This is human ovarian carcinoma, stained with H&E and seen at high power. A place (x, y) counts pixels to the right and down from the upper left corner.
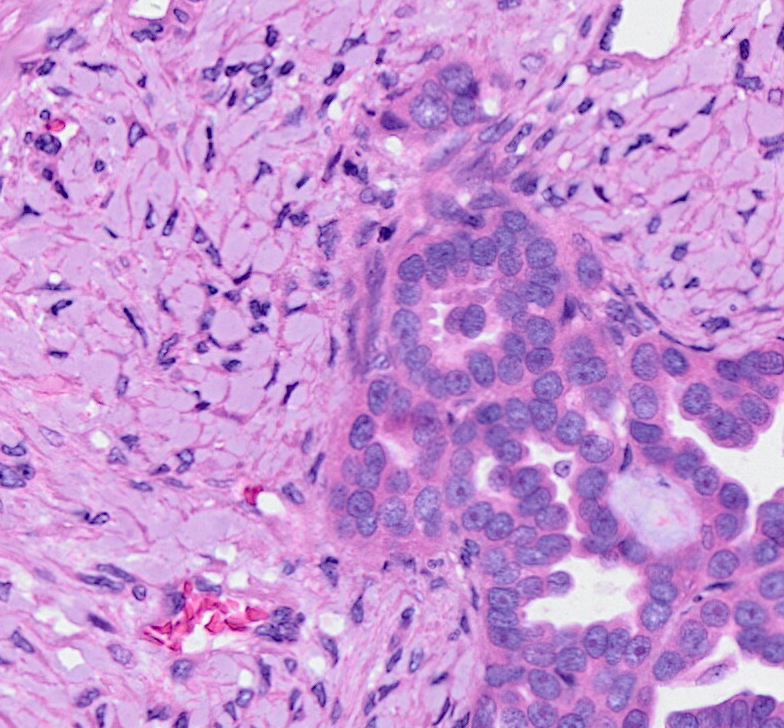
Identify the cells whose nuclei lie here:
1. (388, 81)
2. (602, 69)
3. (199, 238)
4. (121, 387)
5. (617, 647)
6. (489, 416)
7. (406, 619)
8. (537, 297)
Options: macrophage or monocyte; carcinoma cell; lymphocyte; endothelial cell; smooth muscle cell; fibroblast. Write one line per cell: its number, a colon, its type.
1: fibroblast
2: fibroblast
3: fibroblast
4: fibroblast
5: carcinoma cell
6: carcinoma cell
7: fibroblast
8: carcinoma cell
